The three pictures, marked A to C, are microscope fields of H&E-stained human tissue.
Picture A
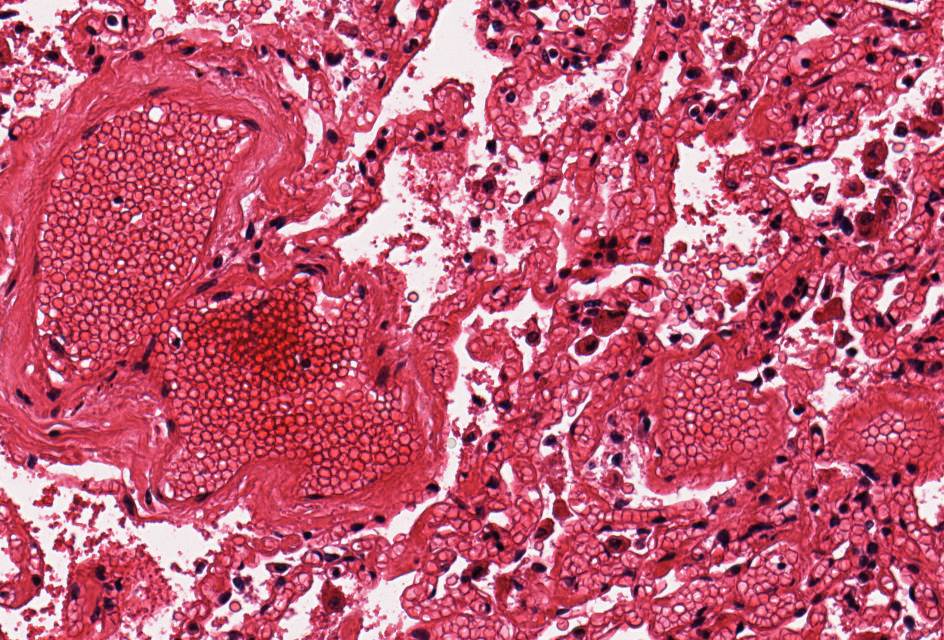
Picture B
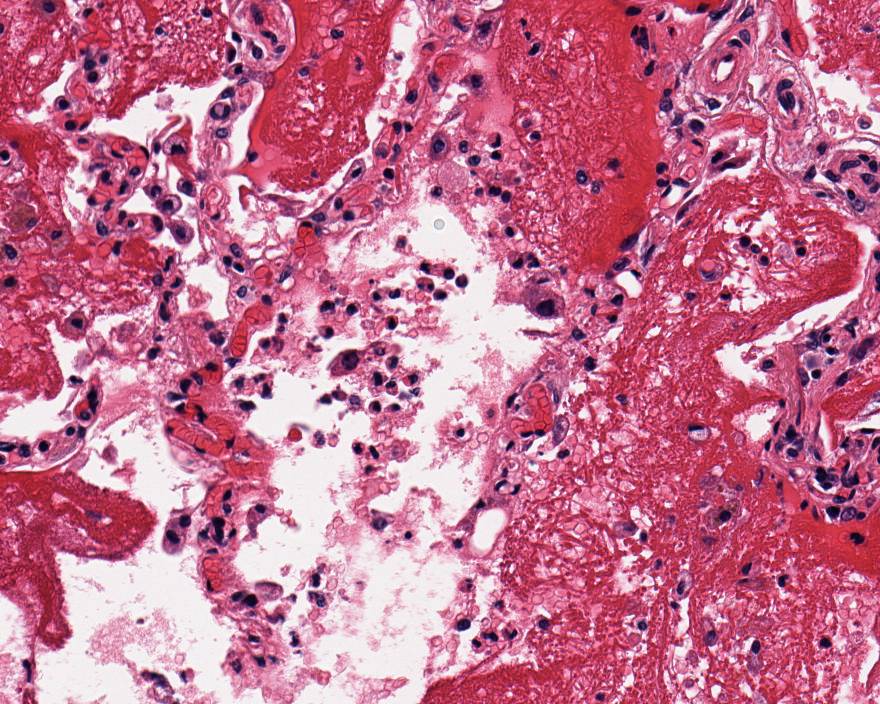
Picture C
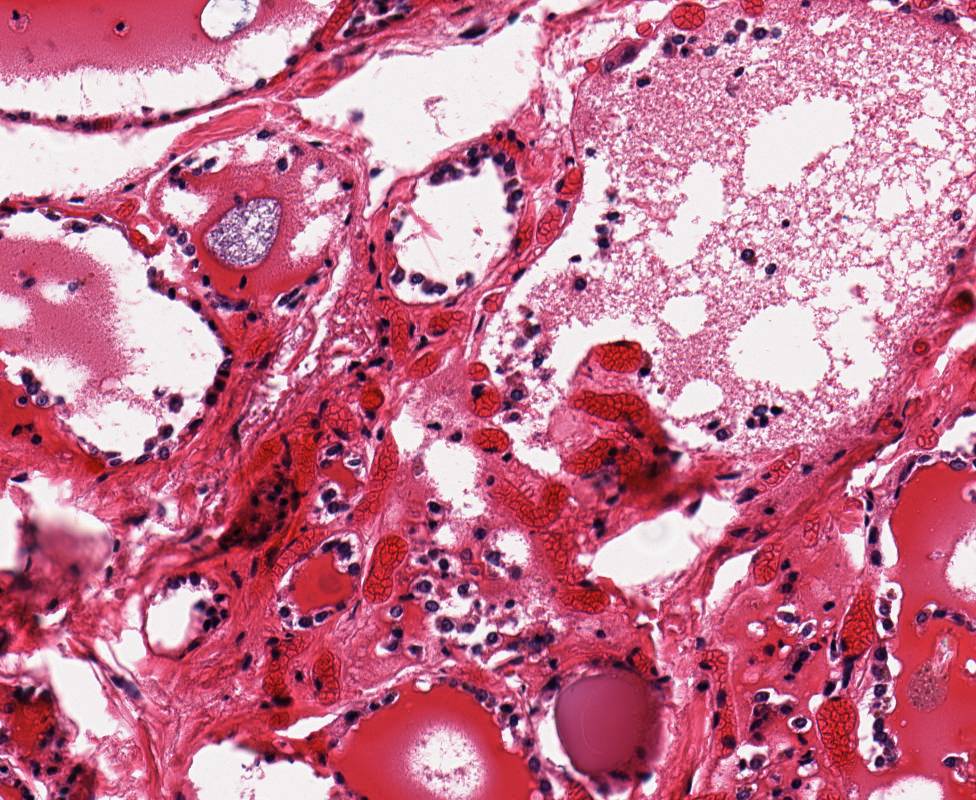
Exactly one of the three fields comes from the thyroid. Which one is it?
C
